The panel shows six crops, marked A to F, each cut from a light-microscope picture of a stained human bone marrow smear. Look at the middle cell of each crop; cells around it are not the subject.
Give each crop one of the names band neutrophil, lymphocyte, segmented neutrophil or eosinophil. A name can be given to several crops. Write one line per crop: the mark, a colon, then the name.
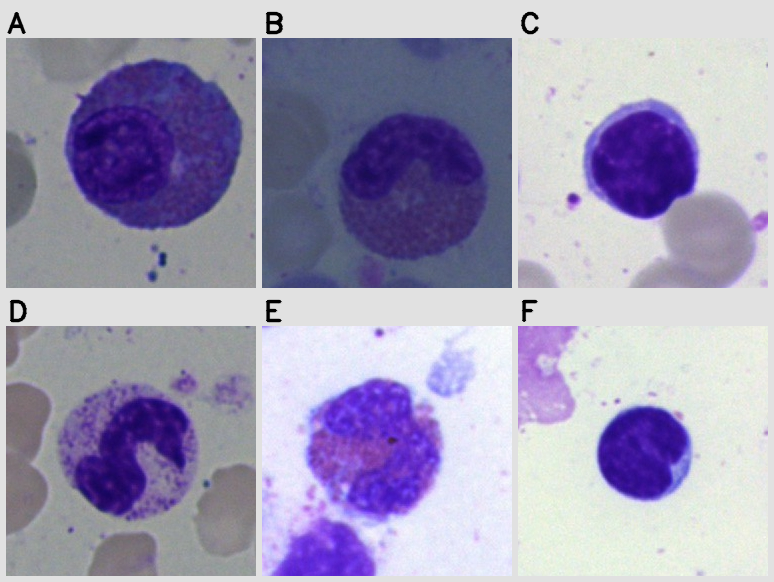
A: eosinophil
B: eosinophil
C: lymphocyte
D: band neutrophil
E: eosinophil
F: lymphocyte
